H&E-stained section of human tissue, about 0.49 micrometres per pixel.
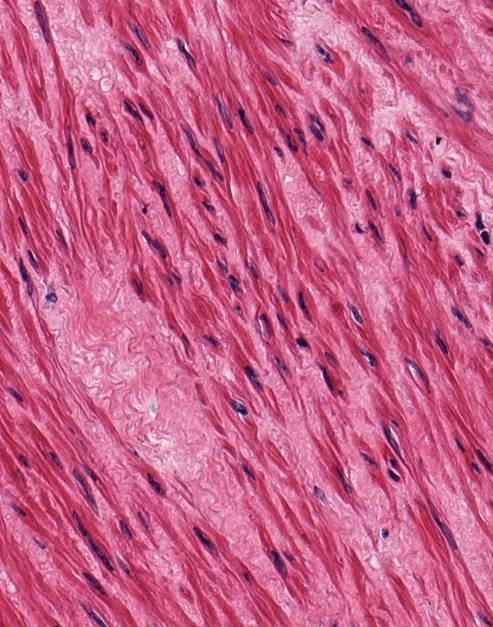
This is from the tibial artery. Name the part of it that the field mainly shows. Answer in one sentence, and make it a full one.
Visible in this section of human tissue is the part called tunica media.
